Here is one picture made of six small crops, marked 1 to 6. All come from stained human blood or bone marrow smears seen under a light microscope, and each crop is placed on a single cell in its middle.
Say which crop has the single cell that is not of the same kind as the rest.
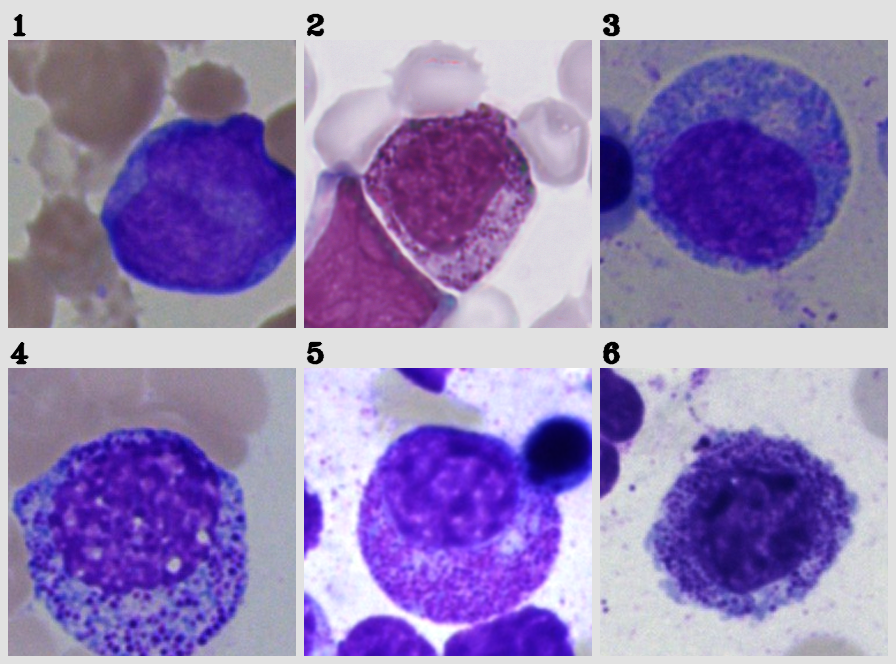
1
